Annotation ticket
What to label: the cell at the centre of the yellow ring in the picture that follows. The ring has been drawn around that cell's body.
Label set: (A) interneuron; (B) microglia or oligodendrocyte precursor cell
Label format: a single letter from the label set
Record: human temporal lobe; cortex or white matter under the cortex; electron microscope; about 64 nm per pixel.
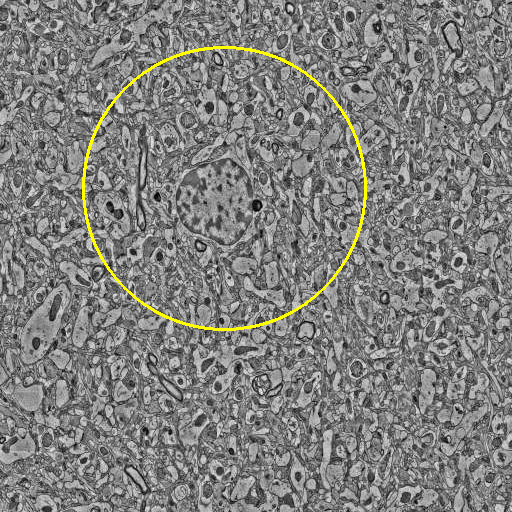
B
